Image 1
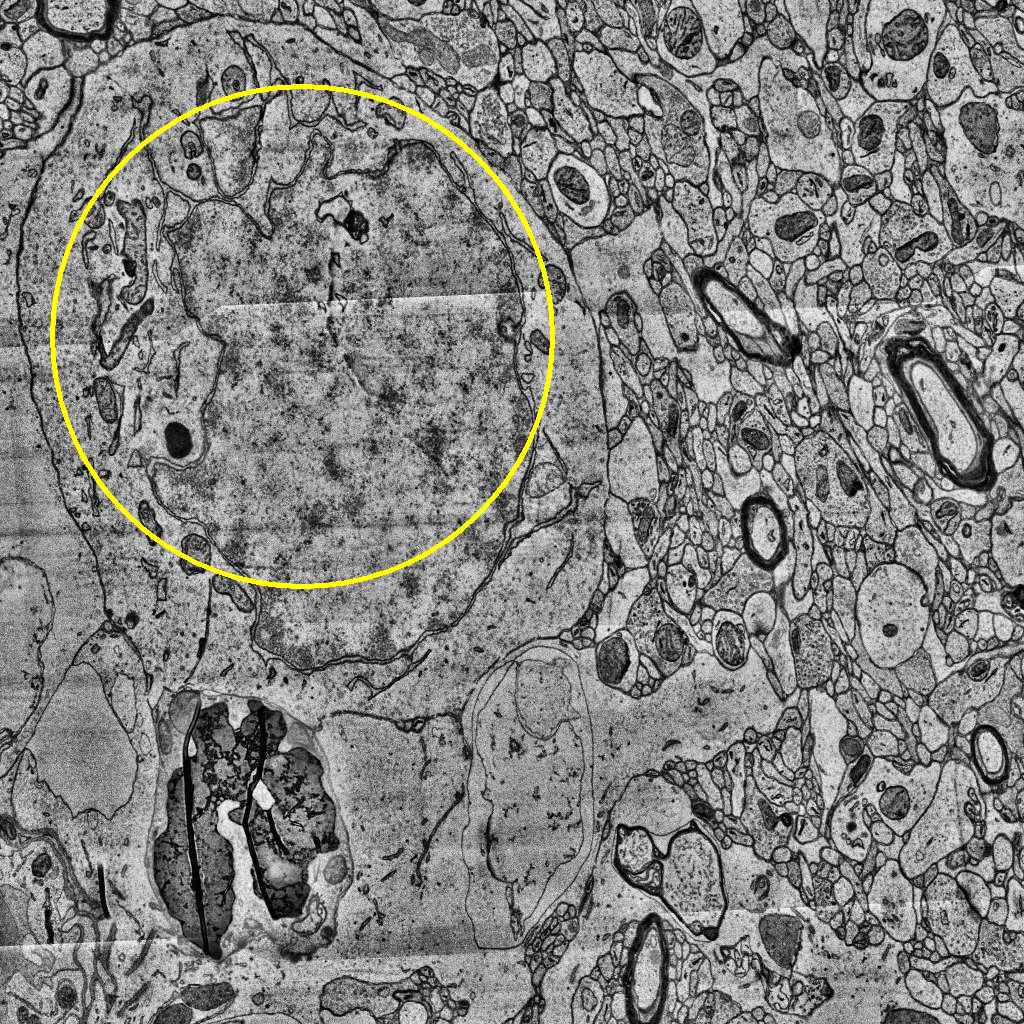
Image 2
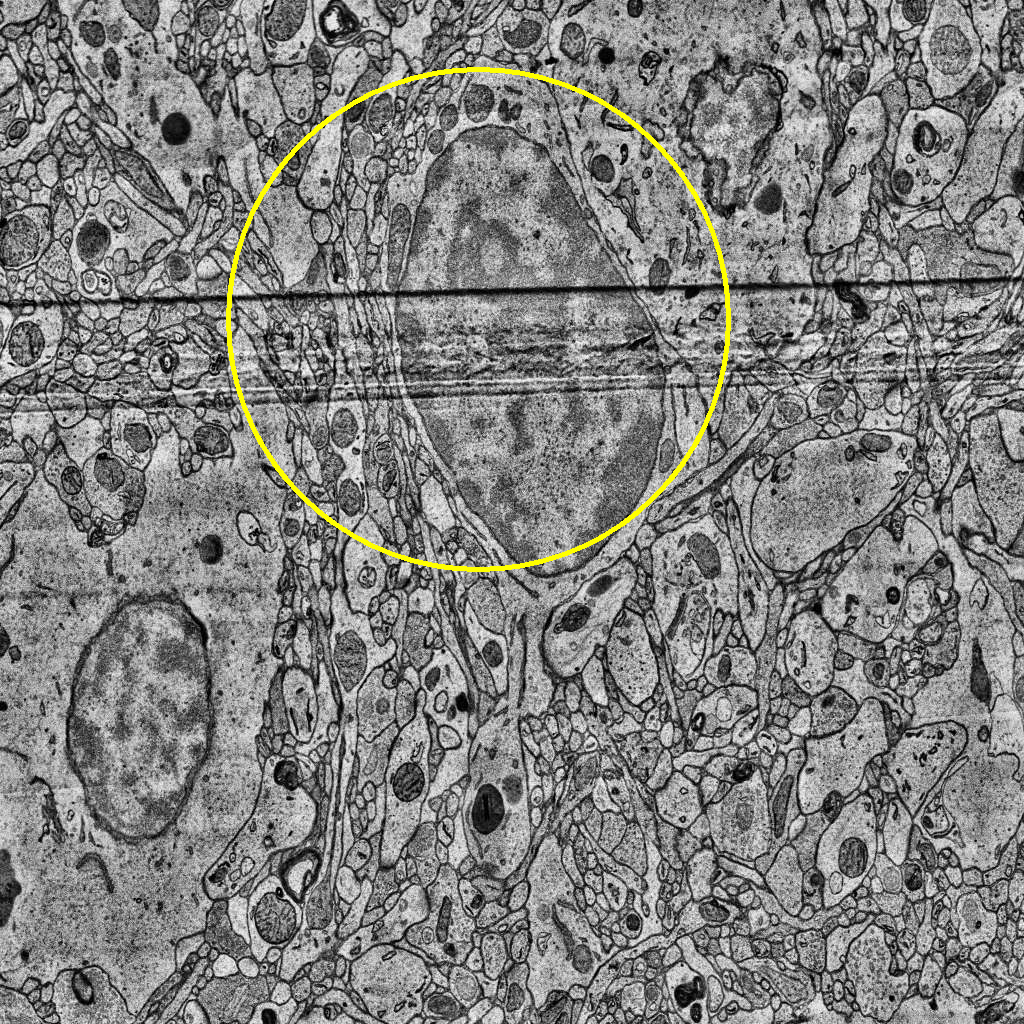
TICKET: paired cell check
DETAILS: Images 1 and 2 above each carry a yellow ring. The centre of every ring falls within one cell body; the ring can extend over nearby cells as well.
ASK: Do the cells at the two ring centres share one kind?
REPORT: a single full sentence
No, the cells at the ring centres of Images 1 and 2 belong to two kinds.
